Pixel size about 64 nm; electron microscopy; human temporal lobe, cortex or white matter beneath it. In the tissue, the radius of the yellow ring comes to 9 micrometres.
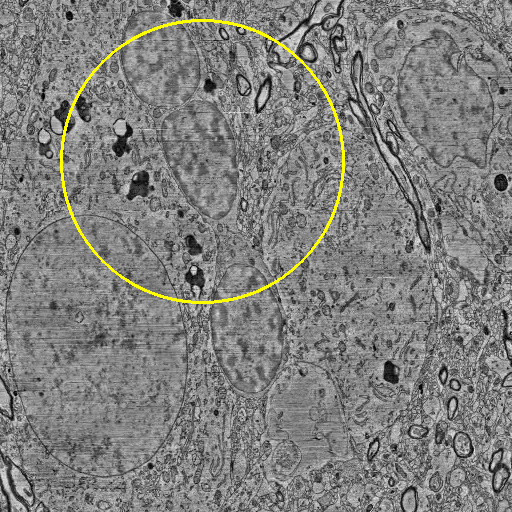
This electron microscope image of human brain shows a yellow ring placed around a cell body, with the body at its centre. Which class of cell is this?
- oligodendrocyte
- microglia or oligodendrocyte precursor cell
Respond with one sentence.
The cell body at the ring's centre is an oligodendrocyte.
